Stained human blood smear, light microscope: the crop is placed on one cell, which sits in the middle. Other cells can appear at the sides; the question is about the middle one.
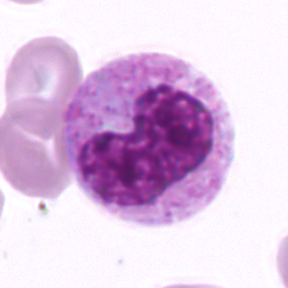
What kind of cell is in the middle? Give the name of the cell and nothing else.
metamyelocyte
